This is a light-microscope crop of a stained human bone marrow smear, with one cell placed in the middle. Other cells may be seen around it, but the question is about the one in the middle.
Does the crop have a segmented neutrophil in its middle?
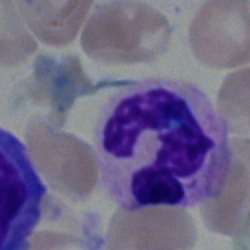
yes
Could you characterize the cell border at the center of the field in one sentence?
Smooth outline, no projections: that is the whole story of its edge.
